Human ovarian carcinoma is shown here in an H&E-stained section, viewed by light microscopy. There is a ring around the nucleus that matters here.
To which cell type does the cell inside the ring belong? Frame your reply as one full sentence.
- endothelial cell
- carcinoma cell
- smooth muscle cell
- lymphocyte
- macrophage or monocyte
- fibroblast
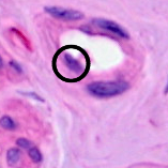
What the cell inside the ring represents is an endothelial cell.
